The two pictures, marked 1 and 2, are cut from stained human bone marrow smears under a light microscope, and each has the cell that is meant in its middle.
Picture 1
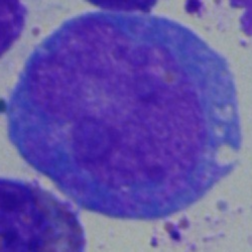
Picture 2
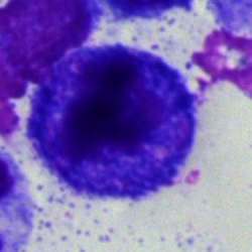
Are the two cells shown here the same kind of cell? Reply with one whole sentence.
Yes, both are promyelocytes.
